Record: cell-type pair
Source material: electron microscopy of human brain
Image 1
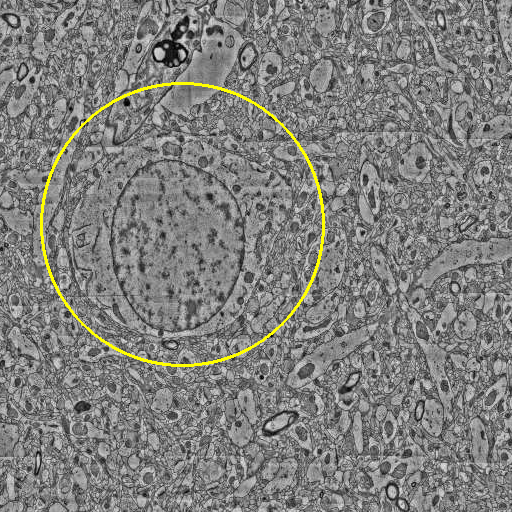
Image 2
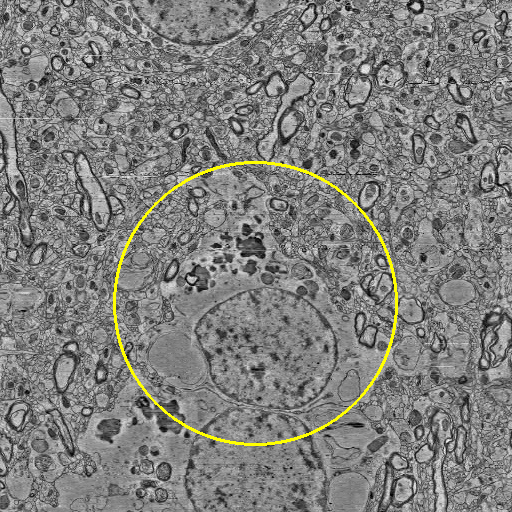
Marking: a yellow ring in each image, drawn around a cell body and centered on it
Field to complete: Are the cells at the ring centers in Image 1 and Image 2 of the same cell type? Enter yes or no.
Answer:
no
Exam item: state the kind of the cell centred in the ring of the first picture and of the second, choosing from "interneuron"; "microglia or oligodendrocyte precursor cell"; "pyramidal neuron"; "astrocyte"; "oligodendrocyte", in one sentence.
The first picture shows a pyramidal neuron at the ring centre and the second shows an astrocyte.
